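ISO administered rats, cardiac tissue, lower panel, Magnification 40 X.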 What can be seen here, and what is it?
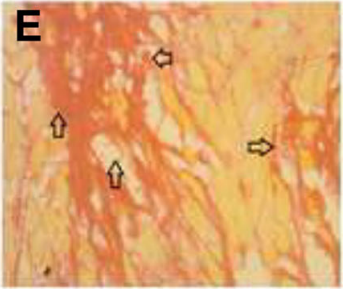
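This is heart muscle in which the muscle fibres stain yellow and thick, branching red-orange bands of collagen run between them. The red deposits are heaviest in a broad streak on the left and spread in thinner strands across the field.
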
